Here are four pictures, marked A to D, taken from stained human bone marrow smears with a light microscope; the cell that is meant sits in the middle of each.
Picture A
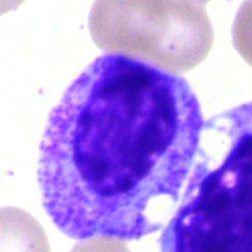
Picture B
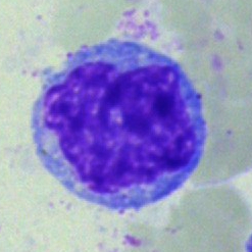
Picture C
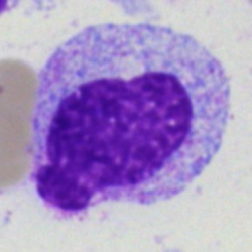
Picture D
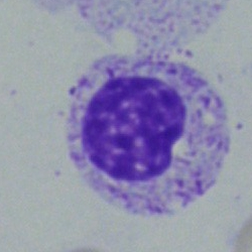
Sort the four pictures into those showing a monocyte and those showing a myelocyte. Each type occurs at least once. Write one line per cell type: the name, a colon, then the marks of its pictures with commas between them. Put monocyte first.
monocyte: B
myelocyte: A, C, D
